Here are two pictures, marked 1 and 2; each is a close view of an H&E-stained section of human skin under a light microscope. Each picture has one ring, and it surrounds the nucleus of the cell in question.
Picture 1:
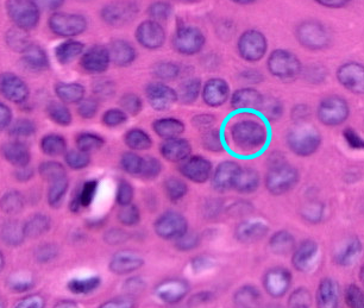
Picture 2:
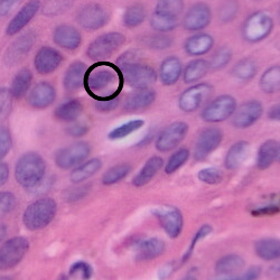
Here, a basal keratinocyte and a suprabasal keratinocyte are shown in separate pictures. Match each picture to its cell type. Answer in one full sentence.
The cell in picture 1 is a suprabasal keratinocyte, and the one in picture 2 is a basal keratinocyte.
